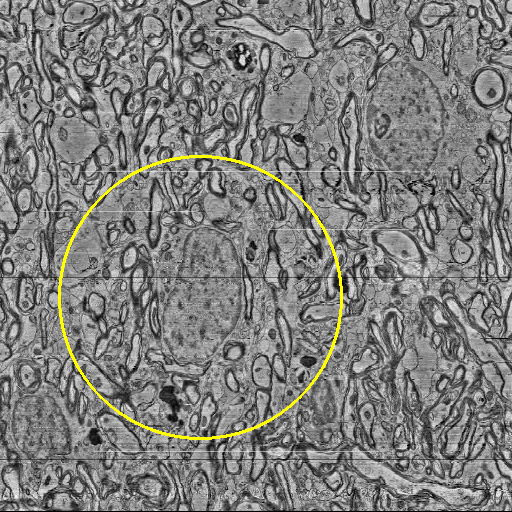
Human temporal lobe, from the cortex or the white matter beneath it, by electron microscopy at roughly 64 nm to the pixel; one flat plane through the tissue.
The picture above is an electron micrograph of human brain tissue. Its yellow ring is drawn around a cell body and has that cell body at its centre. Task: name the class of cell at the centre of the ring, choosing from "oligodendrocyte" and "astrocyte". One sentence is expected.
The ring surrounds the body of an oligodendrocyte.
